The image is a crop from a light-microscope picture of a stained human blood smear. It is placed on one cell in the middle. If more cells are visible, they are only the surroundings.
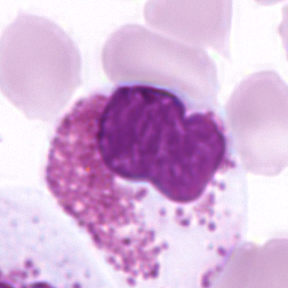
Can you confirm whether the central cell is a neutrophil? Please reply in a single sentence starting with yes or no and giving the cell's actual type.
No, at the centre of this crop is found an eosinophil instead of a neutrophil.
